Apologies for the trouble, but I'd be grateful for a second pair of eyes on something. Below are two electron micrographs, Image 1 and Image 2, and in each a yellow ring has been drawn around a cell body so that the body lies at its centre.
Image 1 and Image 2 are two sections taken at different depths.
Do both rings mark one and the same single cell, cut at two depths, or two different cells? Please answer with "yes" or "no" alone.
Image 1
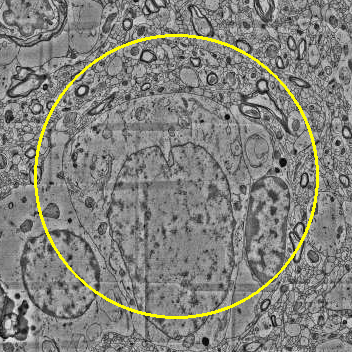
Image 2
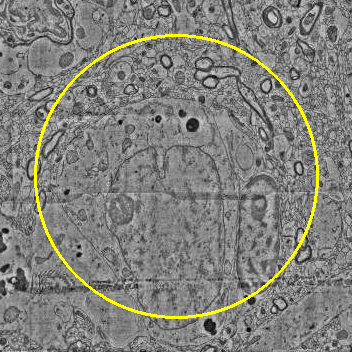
yes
